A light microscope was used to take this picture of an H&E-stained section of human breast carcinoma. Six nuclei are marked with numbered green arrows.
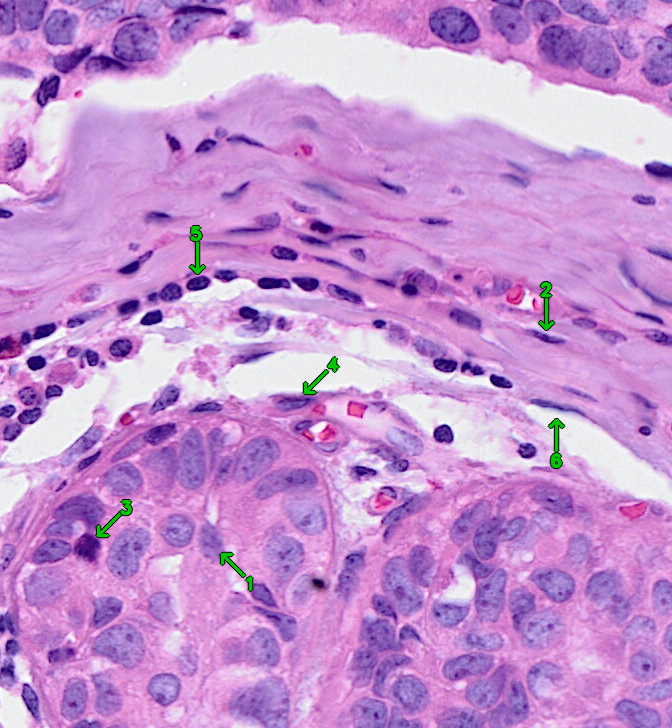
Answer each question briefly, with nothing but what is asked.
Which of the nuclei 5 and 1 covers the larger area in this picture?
1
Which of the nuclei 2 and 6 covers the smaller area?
2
